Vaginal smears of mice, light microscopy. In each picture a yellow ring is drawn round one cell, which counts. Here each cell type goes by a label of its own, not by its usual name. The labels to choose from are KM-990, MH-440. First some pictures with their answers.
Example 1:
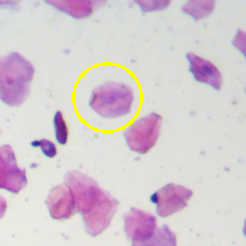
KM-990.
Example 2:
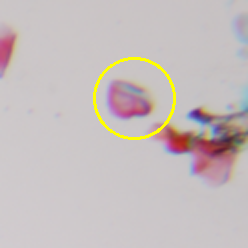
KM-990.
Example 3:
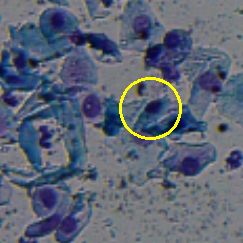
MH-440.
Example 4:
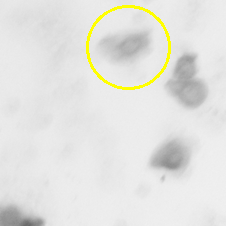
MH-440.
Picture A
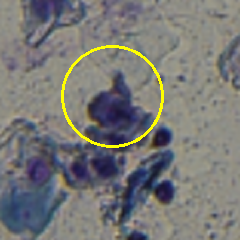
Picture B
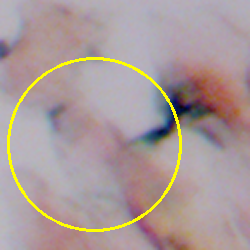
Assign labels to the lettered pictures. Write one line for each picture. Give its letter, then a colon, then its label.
A: MH-440.
B: KM-990.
